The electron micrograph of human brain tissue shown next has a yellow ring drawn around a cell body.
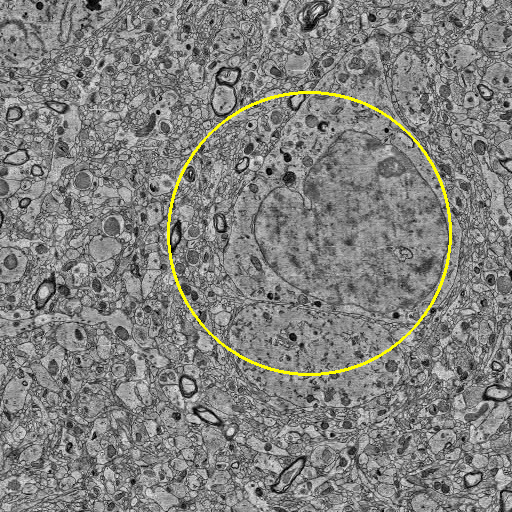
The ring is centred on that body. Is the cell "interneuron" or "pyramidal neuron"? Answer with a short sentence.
The cell in question is an interneuron.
